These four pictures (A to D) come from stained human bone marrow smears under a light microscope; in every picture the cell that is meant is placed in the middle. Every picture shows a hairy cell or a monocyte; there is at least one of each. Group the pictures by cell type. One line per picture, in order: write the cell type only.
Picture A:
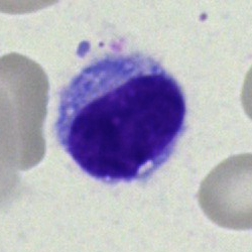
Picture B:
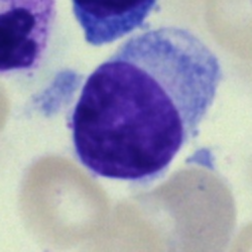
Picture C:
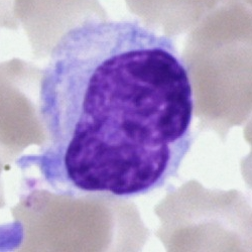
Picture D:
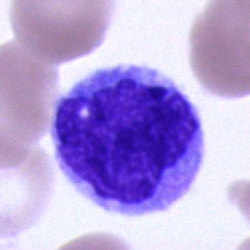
hairy cell
hairy cell
hairy cell
monocyte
